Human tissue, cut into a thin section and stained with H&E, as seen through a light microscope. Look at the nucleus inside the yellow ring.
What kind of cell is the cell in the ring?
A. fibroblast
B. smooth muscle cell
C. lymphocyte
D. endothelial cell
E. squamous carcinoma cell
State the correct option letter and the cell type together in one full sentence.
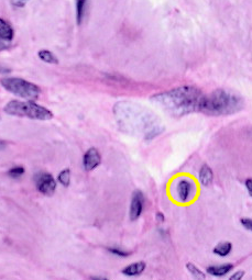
In keeping with option A, the cell in the ring is a fibroblast.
